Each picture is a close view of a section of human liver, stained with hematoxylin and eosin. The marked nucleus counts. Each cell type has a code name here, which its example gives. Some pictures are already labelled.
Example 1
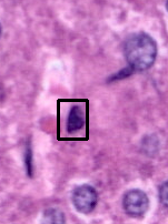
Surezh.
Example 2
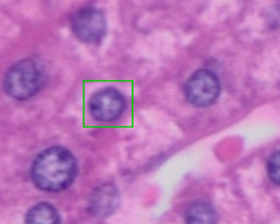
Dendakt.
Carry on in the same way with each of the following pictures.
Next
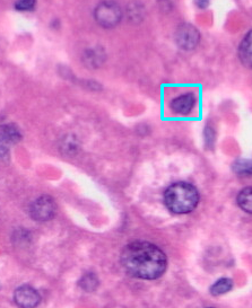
Surezh.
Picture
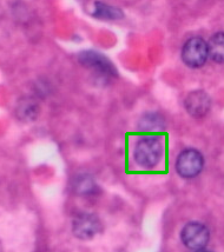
Dendakt.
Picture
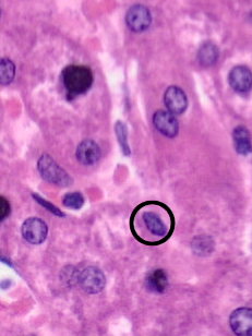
Surezh.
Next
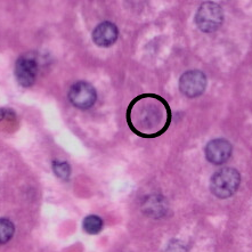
Dendakt.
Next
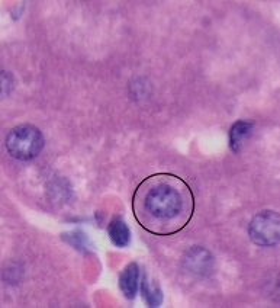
Dendakt.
